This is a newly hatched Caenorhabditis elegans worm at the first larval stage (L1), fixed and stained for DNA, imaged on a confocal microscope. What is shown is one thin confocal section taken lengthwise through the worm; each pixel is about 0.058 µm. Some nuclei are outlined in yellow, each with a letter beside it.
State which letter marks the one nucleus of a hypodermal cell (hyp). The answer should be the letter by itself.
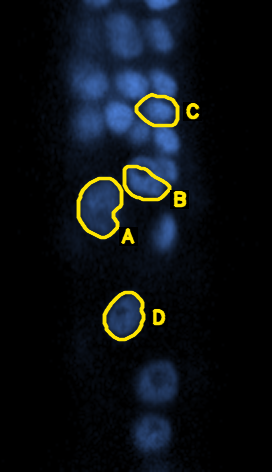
D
